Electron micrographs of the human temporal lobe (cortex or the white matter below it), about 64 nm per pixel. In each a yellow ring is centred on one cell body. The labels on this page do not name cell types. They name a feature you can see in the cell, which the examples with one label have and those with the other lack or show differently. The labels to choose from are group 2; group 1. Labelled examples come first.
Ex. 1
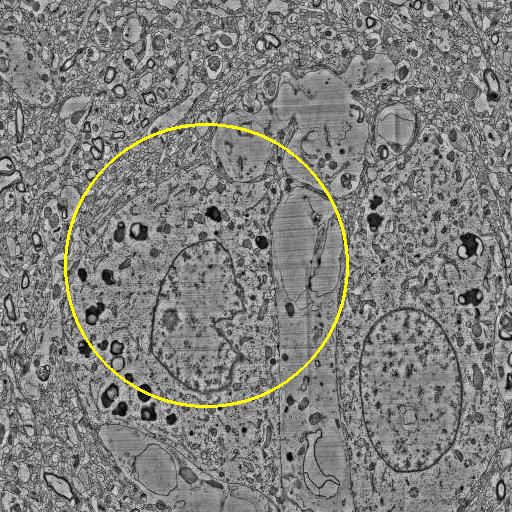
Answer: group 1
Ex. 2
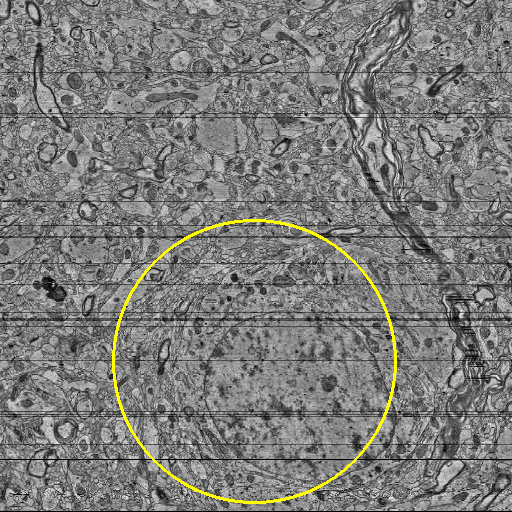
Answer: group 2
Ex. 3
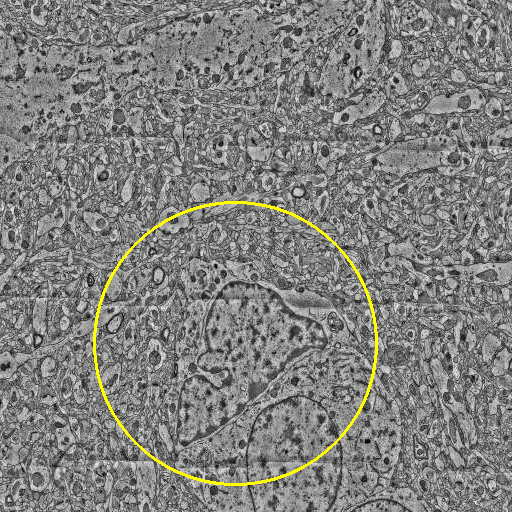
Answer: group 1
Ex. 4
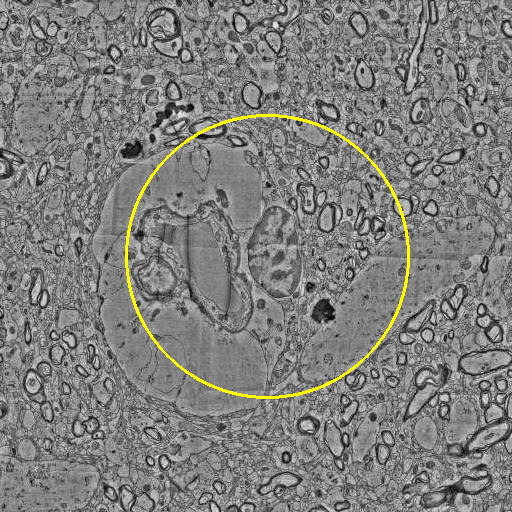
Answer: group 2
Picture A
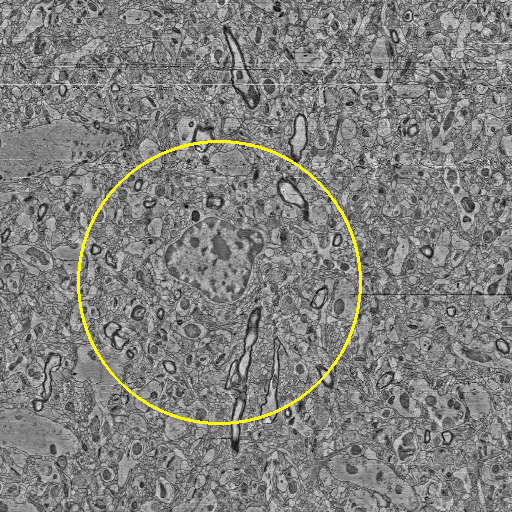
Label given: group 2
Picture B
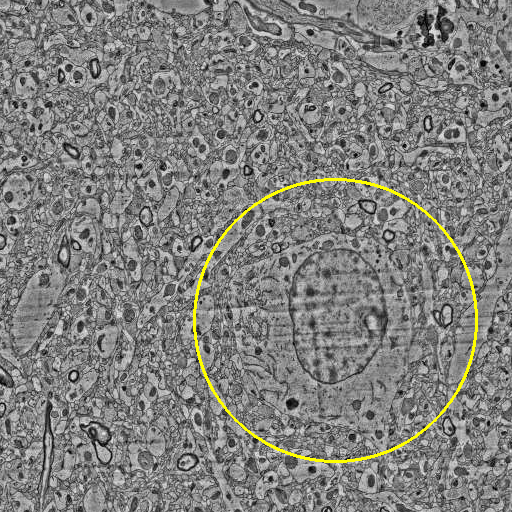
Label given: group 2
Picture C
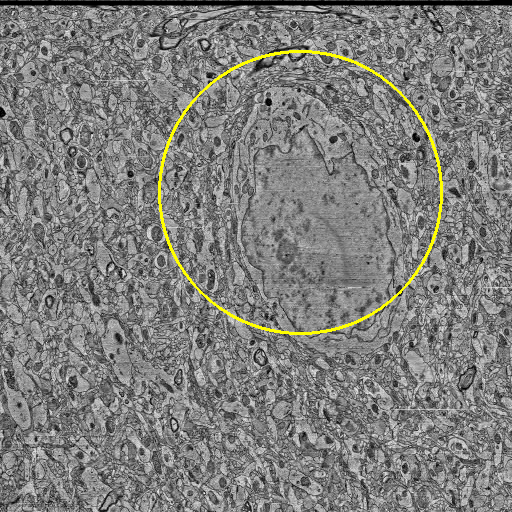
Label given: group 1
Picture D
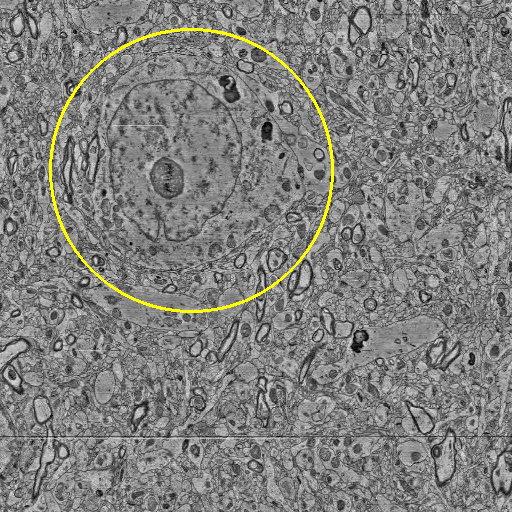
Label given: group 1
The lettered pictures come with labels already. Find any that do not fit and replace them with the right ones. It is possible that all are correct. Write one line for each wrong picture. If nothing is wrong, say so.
A: change group 2 to group 1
